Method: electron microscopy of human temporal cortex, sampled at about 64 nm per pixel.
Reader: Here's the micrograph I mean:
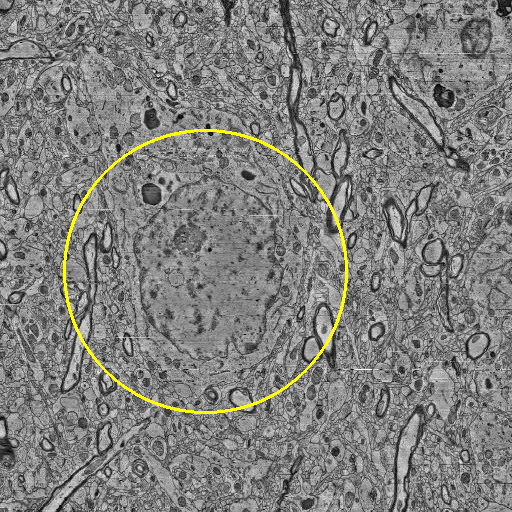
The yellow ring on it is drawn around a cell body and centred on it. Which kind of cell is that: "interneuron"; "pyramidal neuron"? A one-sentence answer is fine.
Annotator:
The ring is centred on an interneuron.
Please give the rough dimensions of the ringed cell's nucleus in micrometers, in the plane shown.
In this plane the nucleus measures roughly 12 by 9 micrometers.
